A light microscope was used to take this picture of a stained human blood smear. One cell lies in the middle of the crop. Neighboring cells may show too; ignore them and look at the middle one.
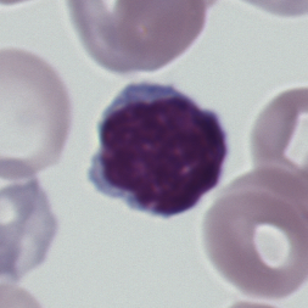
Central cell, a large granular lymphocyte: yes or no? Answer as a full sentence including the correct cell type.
No, the middle cell is classified as a typical lymphocyte and not as a large granular lymphocyte.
